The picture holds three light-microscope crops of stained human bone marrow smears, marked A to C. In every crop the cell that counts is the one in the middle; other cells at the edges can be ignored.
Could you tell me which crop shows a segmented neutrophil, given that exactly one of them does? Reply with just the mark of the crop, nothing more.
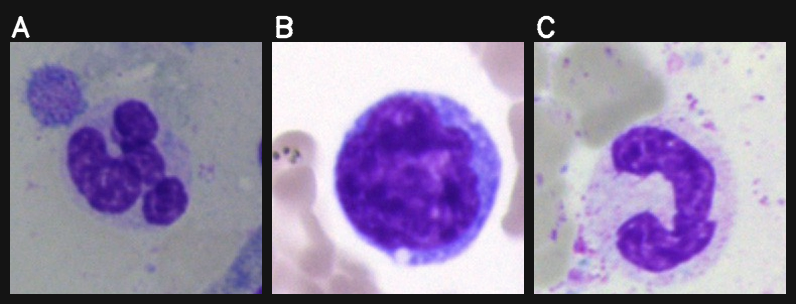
A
